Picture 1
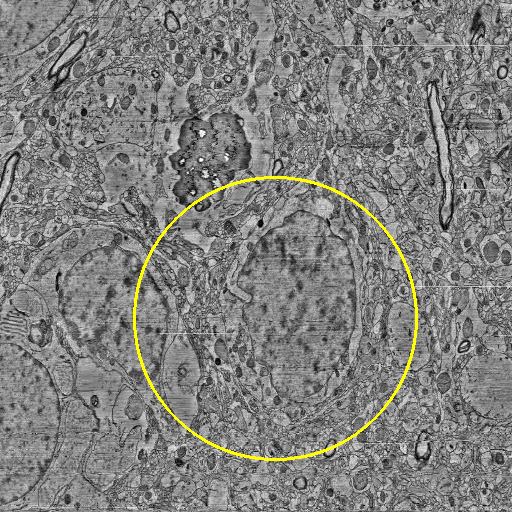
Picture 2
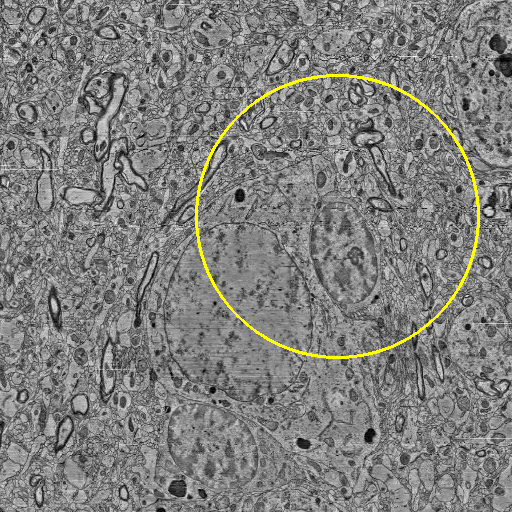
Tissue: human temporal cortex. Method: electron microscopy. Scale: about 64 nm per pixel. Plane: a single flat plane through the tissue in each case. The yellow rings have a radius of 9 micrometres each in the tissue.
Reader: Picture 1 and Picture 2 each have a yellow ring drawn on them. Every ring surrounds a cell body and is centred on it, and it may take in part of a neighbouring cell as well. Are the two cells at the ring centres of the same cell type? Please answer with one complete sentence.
No, the cells are of two cell types.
